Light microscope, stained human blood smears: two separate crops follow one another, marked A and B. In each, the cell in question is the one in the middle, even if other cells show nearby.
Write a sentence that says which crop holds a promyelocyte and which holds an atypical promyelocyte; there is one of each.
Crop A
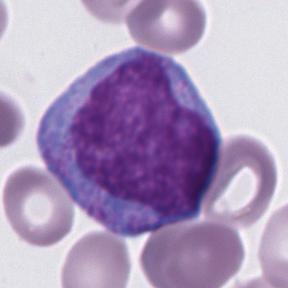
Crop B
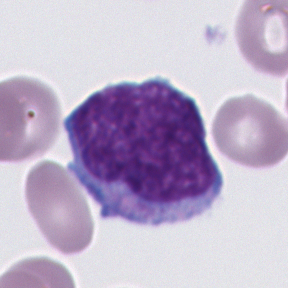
In crop A, a promyelocyte is present; in crop B, an atypical promyelocyte is present.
